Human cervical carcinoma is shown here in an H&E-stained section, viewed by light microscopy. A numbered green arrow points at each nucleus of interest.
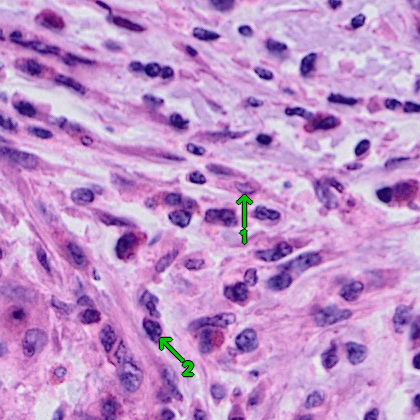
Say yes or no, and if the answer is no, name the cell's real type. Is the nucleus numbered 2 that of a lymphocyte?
Yes.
